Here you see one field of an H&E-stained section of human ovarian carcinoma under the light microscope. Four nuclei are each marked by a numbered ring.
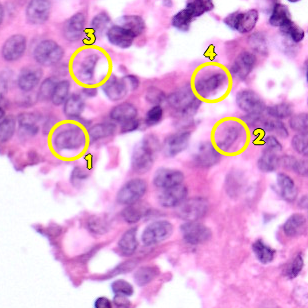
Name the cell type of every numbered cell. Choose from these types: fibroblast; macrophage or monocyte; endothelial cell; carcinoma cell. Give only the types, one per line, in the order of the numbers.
carcinoma cell
carcinoma cell
macrophage or monocyte
carcinoma cell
